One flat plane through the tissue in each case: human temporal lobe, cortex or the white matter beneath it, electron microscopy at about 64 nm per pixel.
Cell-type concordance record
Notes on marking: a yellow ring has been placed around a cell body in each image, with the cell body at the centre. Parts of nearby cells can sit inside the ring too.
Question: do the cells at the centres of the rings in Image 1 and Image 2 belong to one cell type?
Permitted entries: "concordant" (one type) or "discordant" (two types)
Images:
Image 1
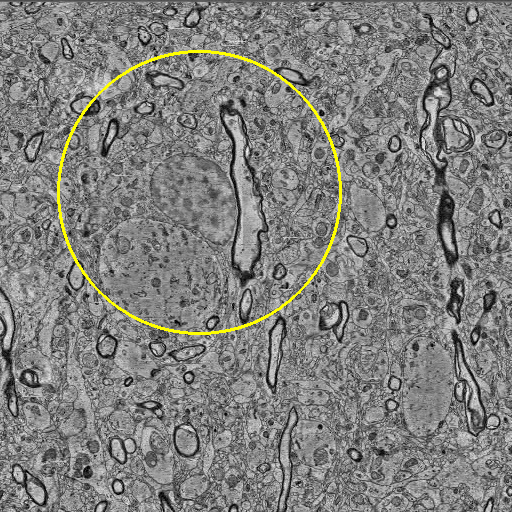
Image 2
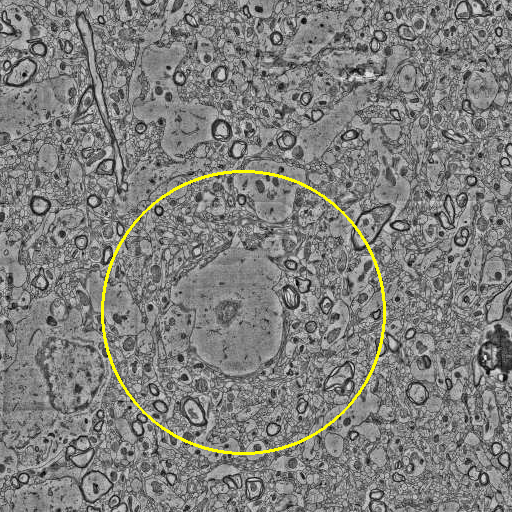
discordant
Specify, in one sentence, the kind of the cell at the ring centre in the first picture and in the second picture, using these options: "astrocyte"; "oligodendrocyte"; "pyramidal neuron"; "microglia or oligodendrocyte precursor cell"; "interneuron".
So the first is an oligodendrocyte, the second an astrocyte.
